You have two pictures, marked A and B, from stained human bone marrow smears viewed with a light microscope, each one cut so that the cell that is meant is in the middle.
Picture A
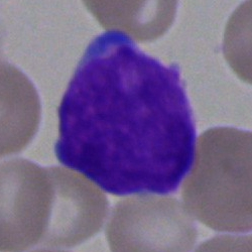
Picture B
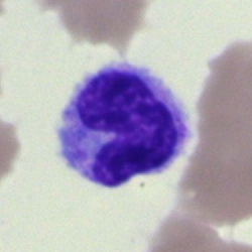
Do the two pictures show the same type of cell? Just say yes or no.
no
